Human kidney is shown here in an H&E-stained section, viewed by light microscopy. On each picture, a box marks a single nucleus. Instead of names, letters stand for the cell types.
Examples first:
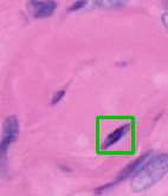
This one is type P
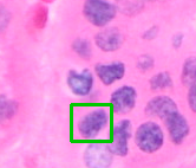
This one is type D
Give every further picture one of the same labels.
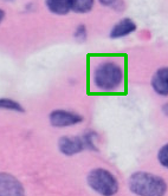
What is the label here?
type D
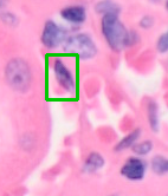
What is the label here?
type P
